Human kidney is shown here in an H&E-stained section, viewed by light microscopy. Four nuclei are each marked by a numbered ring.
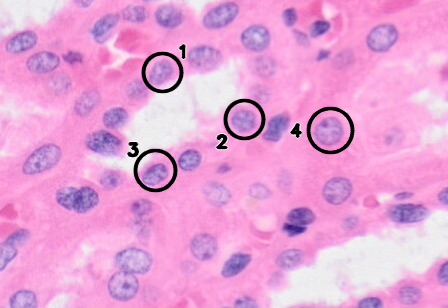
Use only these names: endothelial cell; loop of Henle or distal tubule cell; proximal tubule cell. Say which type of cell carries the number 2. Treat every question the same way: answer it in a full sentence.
Classified as a loop of Henle or distal tubule cell is the cell with the number 2.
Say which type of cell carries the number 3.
Marked with the number 3, this cell is a loop of Henle or distal tubule cell.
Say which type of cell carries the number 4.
Cell 4, as marked in the section, is a proximal tubule cell.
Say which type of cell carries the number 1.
In this section, number 1 marks a loop of Henle or distal tubule cell.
